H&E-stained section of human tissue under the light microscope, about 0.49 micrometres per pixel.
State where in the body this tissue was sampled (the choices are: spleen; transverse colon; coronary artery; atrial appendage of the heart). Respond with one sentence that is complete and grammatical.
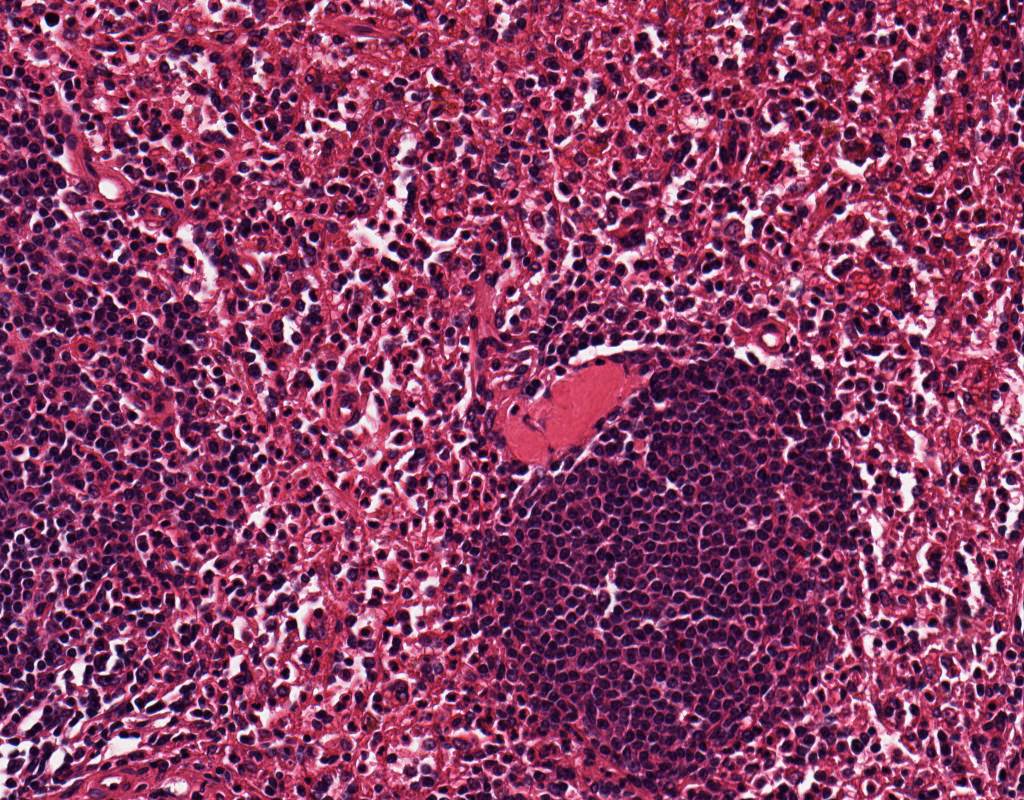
The human tissue in this section was sampled from the spleen.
